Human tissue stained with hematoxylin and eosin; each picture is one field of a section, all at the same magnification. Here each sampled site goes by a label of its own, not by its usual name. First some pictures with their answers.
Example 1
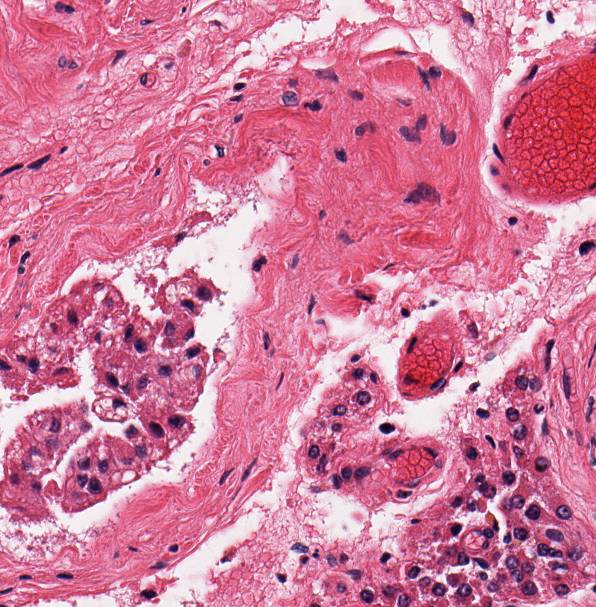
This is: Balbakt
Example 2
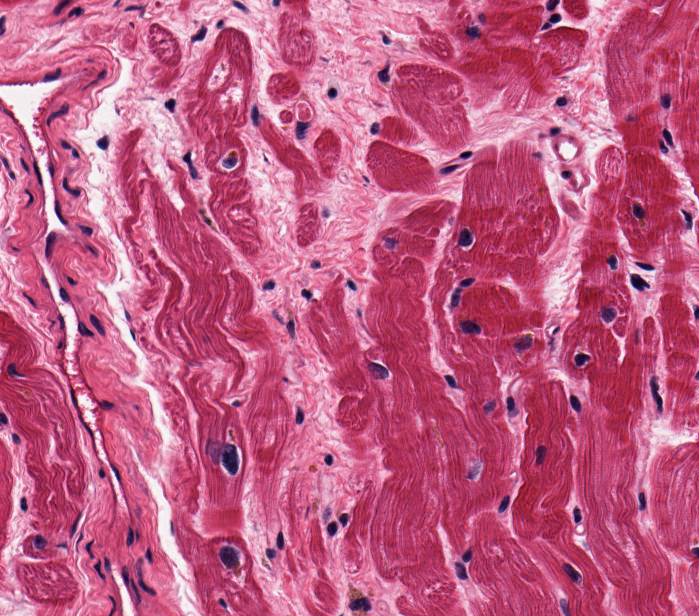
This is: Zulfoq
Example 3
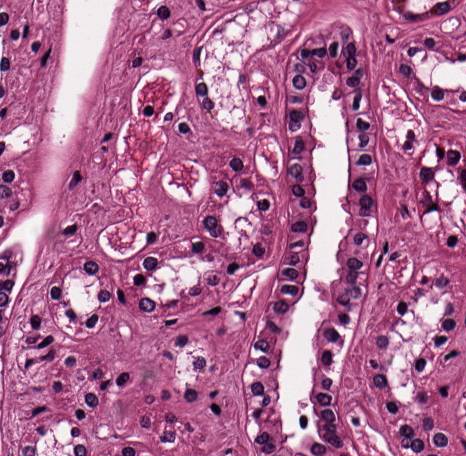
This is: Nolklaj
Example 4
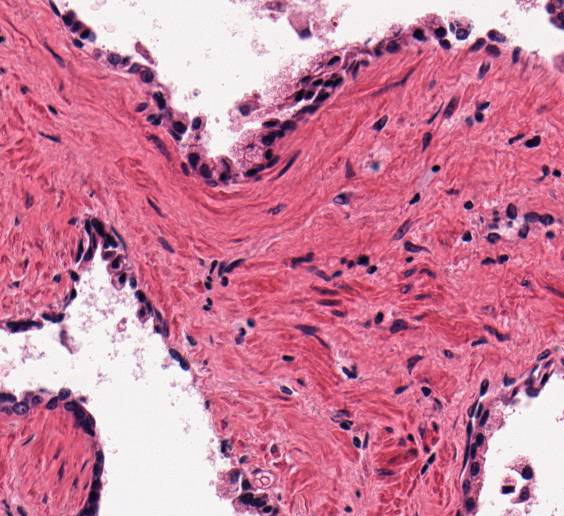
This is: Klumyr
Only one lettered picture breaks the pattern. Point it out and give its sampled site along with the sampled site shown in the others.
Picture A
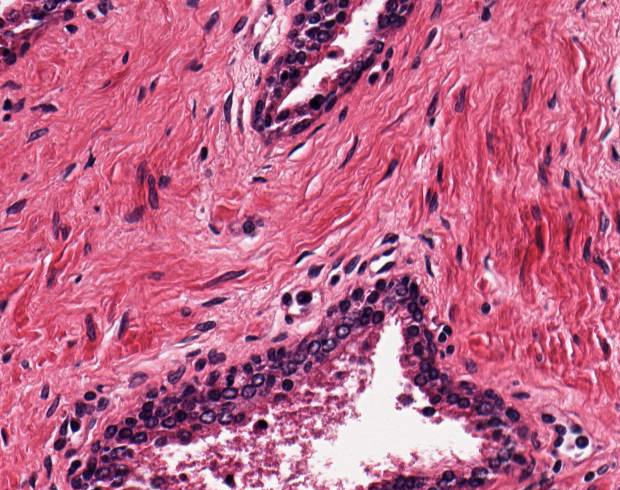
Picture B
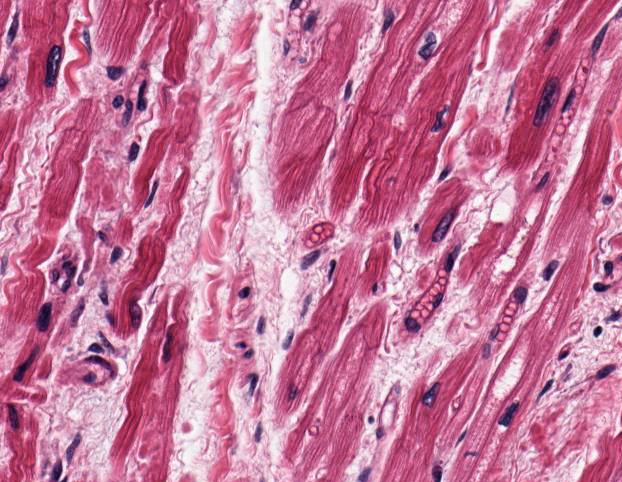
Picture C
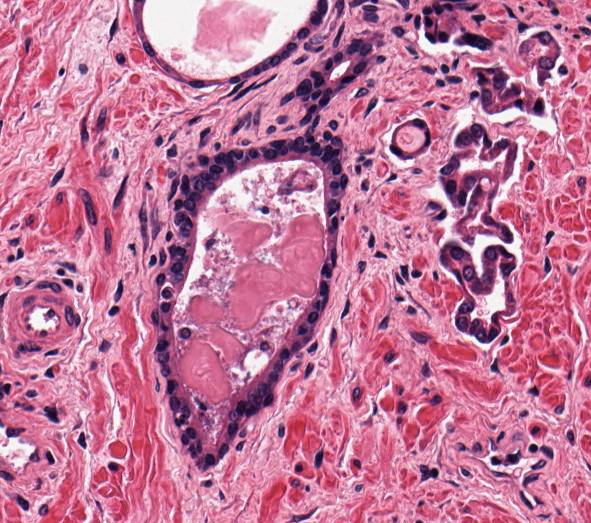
B (Zulfoq) is the exception; every other picture is Klumyr.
